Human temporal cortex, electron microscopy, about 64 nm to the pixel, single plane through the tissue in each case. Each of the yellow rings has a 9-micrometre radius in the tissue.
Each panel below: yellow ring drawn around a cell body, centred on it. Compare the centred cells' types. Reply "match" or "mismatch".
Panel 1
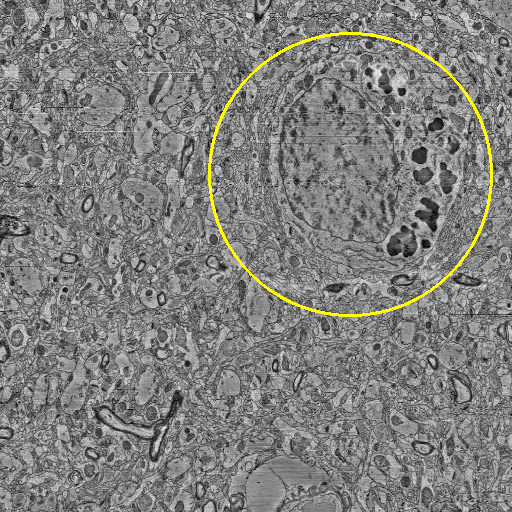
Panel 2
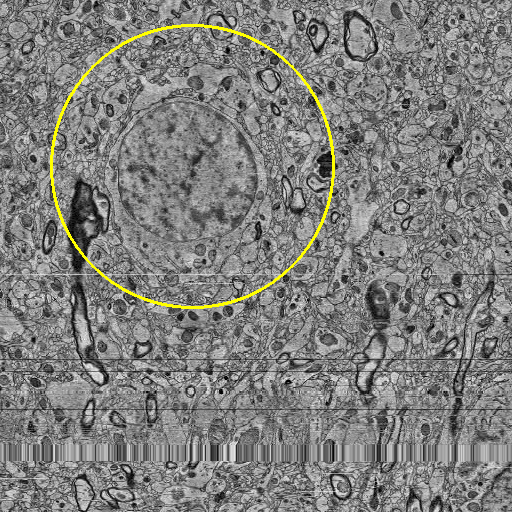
match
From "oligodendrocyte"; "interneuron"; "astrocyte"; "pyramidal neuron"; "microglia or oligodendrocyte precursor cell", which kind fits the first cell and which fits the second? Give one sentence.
The cell at the ring centre is an interneuron in both pictures.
